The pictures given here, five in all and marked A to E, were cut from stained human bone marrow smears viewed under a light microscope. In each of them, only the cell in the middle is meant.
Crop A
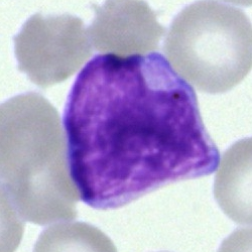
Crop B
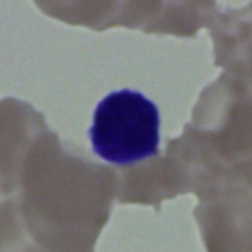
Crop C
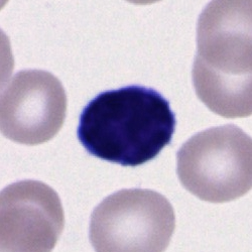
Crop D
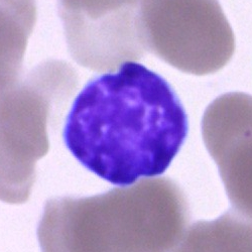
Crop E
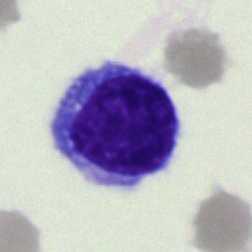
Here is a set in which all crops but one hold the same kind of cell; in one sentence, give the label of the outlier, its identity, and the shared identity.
As the exception to the lymphocytes in the other crops, crop A shows a blast.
